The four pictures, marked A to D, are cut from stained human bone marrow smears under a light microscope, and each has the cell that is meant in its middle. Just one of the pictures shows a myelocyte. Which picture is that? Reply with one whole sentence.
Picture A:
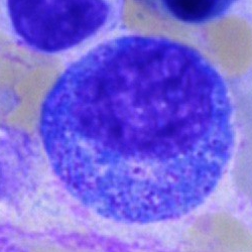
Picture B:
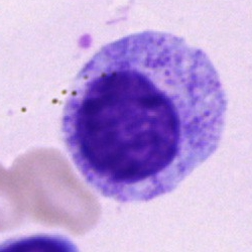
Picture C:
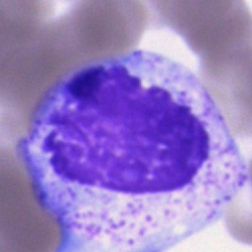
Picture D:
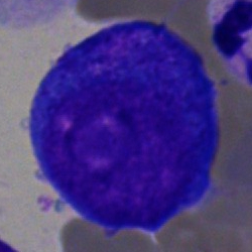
Picture B is the one that shows the myelocyte.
